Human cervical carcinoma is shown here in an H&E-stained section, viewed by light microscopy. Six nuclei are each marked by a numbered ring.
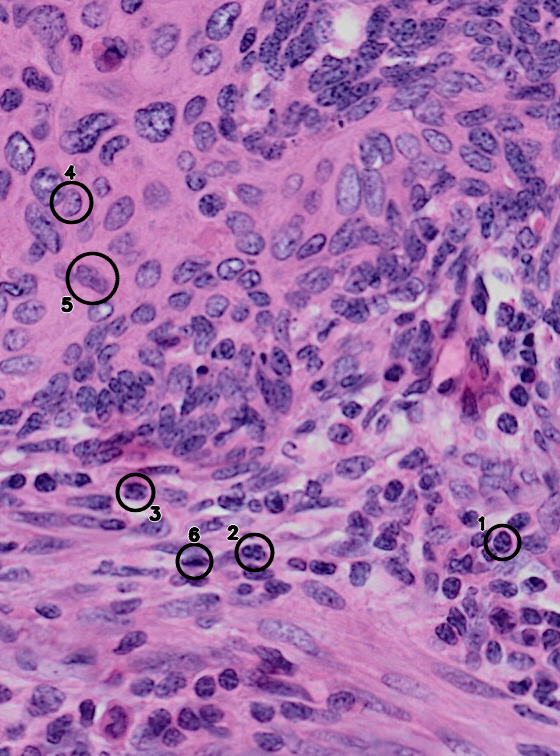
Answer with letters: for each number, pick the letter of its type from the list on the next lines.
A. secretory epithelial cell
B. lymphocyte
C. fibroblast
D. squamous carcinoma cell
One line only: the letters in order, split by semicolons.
B; B; B; D; D; B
